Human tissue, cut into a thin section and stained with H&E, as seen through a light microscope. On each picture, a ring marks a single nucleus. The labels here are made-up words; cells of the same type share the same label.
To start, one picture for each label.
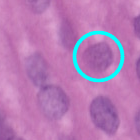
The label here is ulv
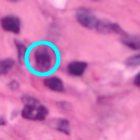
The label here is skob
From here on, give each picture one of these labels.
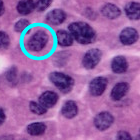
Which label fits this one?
skob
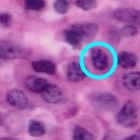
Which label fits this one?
skob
